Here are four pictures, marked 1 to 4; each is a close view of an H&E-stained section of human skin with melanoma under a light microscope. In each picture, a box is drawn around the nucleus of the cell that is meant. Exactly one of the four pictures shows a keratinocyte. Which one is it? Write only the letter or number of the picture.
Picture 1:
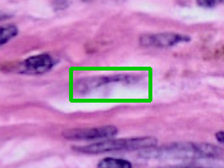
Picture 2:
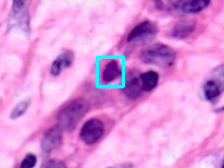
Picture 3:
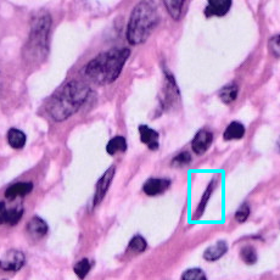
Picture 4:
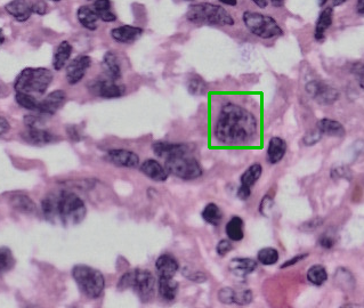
2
